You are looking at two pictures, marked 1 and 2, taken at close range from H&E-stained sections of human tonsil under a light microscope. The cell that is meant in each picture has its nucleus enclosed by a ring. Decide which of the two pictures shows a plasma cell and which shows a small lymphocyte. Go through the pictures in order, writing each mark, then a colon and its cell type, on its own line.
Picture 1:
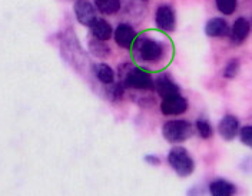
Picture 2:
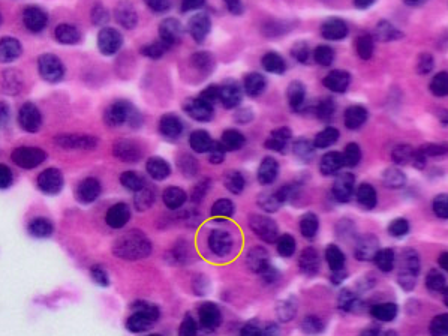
1: small lymphocyte
2: plasma cell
